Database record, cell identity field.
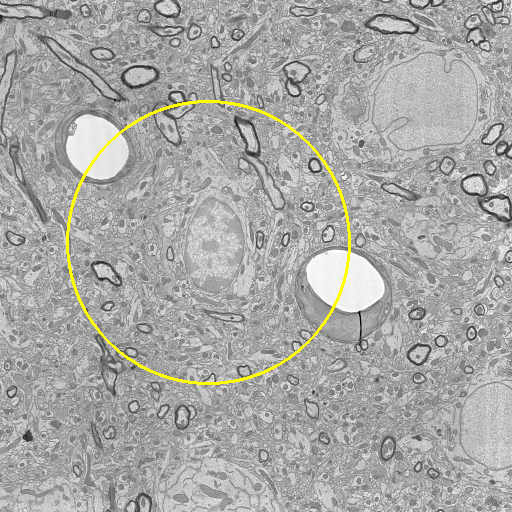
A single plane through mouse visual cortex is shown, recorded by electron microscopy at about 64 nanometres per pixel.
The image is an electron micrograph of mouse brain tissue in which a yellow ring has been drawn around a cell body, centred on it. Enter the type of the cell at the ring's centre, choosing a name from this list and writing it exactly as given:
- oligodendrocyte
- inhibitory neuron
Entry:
oligodendrocyte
